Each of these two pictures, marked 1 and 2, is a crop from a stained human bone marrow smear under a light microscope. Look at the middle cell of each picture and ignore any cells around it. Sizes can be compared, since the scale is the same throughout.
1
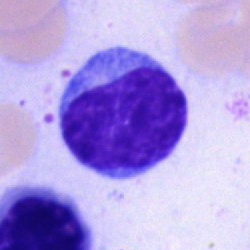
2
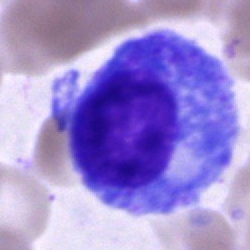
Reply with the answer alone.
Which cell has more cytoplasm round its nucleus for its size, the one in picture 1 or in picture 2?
2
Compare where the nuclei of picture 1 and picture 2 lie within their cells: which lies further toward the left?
2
